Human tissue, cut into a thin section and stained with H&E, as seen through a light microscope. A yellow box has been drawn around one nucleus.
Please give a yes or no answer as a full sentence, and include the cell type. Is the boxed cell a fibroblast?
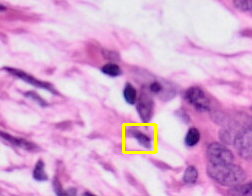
Yes, and to confirm, the boxed cell is a fibroblast.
